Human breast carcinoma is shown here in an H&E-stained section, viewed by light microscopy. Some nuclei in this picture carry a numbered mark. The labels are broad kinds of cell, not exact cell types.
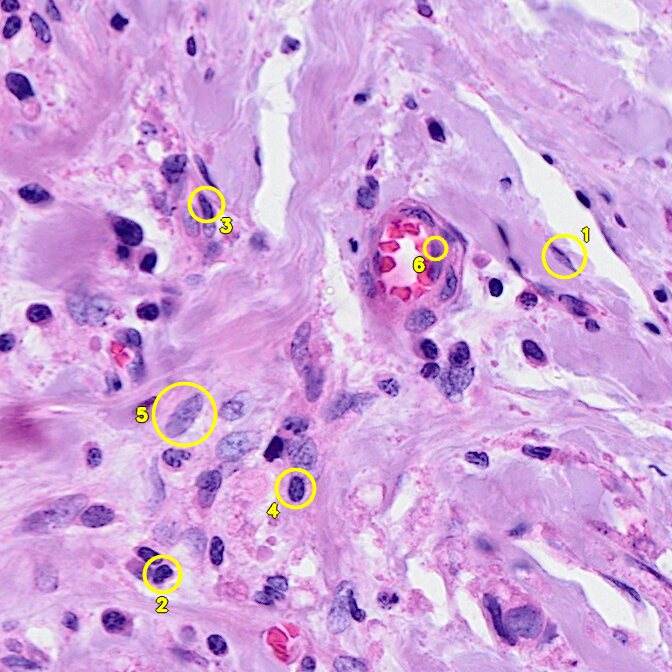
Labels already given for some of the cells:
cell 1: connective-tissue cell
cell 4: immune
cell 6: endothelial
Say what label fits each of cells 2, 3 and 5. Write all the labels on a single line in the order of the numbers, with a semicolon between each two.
immune; endothelial; connective-tissue cell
